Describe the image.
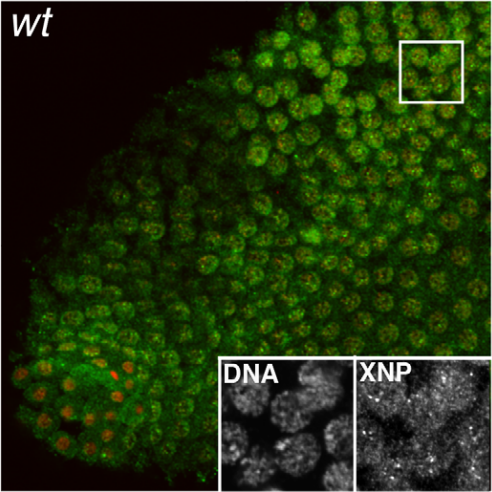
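Blastoderm embryo with hundreds of round nuclei packed evenly in a single layer at the embryo surface. The nuclei carry fine green speckles over the red chromatin, and a few nuclei at one edge appear redder and more condensed.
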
